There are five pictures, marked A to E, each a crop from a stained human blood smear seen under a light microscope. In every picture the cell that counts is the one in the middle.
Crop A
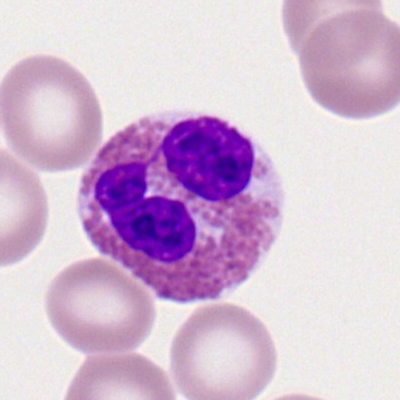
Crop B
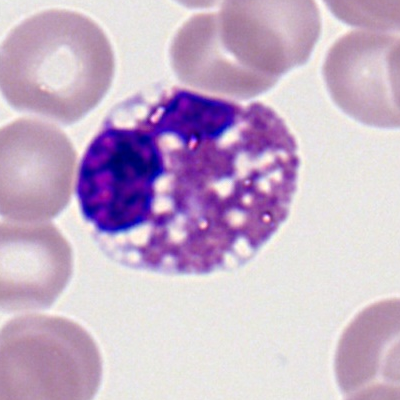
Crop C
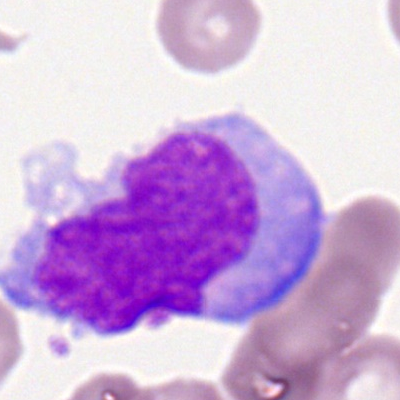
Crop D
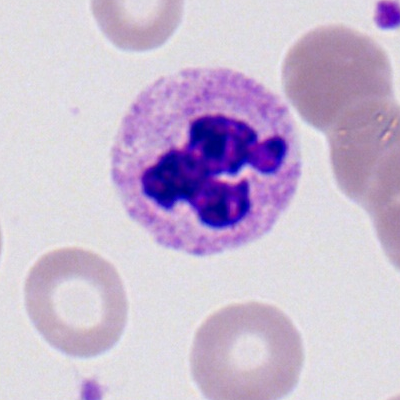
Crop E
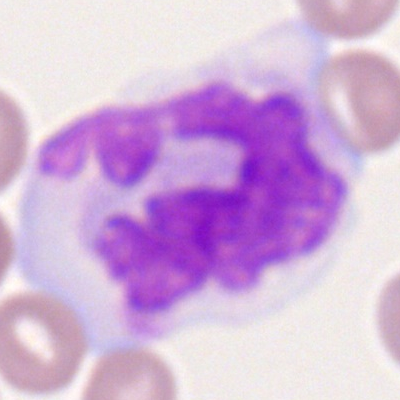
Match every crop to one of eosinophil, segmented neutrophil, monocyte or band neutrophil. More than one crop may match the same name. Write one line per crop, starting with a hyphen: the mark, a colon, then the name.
- A: eosinophil
- B: eosinophil
- C: monocyte
- D: segmented neutrophil
- E: monocyte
